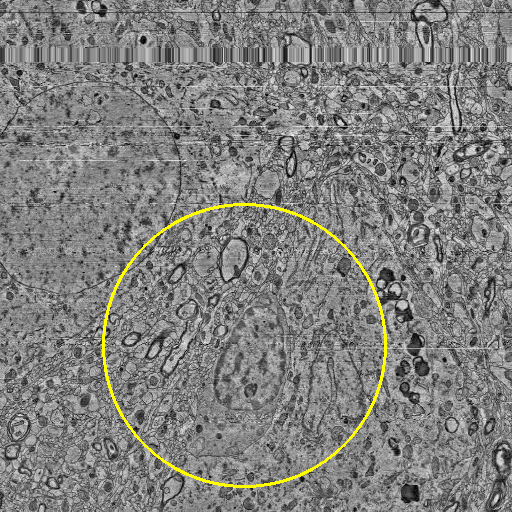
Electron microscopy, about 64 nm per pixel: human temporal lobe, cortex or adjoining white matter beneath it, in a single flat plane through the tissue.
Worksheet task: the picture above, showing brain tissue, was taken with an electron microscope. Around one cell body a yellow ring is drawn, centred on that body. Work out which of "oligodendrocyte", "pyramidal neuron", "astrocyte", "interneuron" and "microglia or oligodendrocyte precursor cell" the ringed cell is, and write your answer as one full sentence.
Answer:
It is an oligodendrocyte whose cell body lies at the centre of the yellow ring.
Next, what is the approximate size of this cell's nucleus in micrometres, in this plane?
About 7 by 4 micrometres, the nucleus being clearly longer than it is wide in this plane.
